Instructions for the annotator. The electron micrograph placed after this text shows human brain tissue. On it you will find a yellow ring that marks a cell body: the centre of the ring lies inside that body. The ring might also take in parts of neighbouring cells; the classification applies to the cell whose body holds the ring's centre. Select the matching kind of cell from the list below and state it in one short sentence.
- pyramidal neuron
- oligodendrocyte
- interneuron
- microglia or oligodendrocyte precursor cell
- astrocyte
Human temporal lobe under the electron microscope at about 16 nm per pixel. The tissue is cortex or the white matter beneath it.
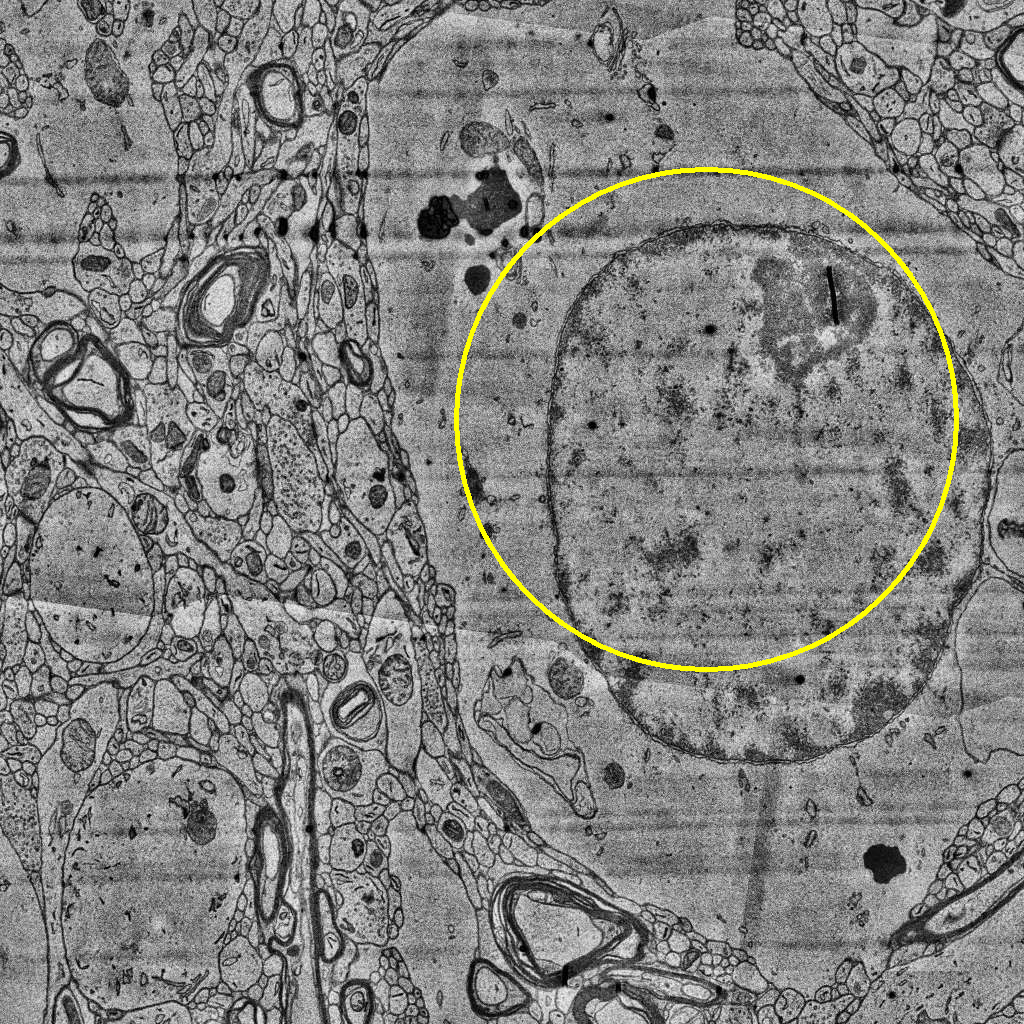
The centre of the ring lies in the cell body of an astrocyte.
